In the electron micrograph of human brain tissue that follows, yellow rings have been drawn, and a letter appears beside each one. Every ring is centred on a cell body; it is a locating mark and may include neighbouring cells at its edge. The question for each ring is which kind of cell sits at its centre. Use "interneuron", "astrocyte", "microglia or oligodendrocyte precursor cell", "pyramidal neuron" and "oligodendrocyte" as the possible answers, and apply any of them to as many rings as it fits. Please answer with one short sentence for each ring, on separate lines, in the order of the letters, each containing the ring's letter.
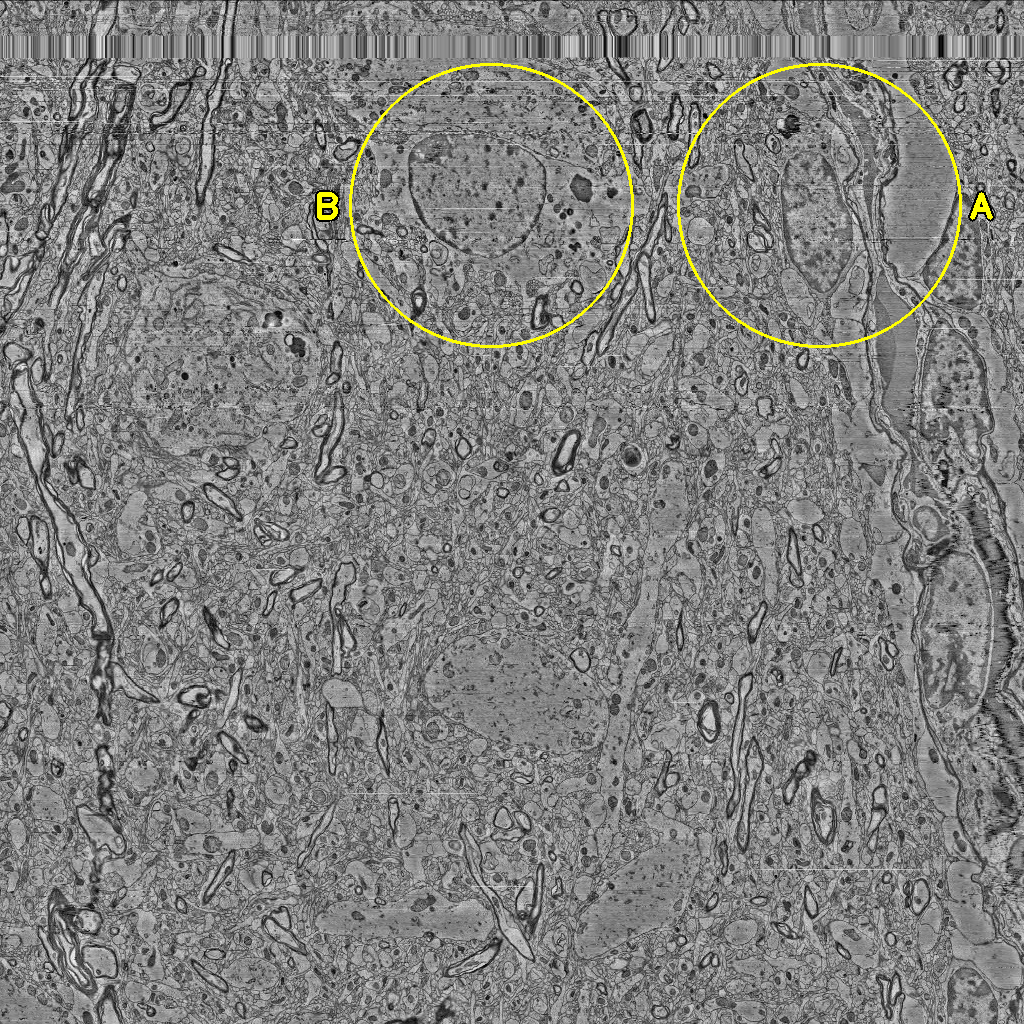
Sitting at the centre of ring A is an oligodendrocyte.
Sitting at the centre of ring B is an astrocyte.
